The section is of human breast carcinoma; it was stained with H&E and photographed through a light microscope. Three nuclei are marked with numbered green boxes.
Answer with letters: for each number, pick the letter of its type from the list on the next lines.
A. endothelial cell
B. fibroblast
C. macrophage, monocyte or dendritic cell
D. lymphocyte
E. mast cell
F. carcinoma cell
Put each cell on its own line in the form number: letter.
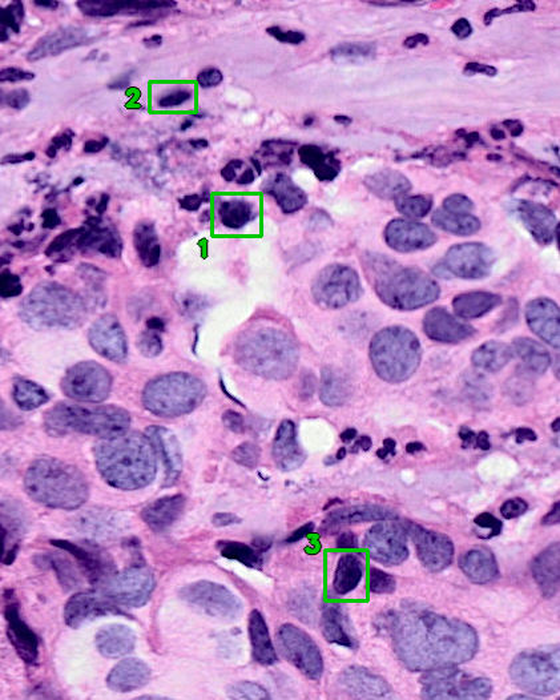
1: F
2: D
3: F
